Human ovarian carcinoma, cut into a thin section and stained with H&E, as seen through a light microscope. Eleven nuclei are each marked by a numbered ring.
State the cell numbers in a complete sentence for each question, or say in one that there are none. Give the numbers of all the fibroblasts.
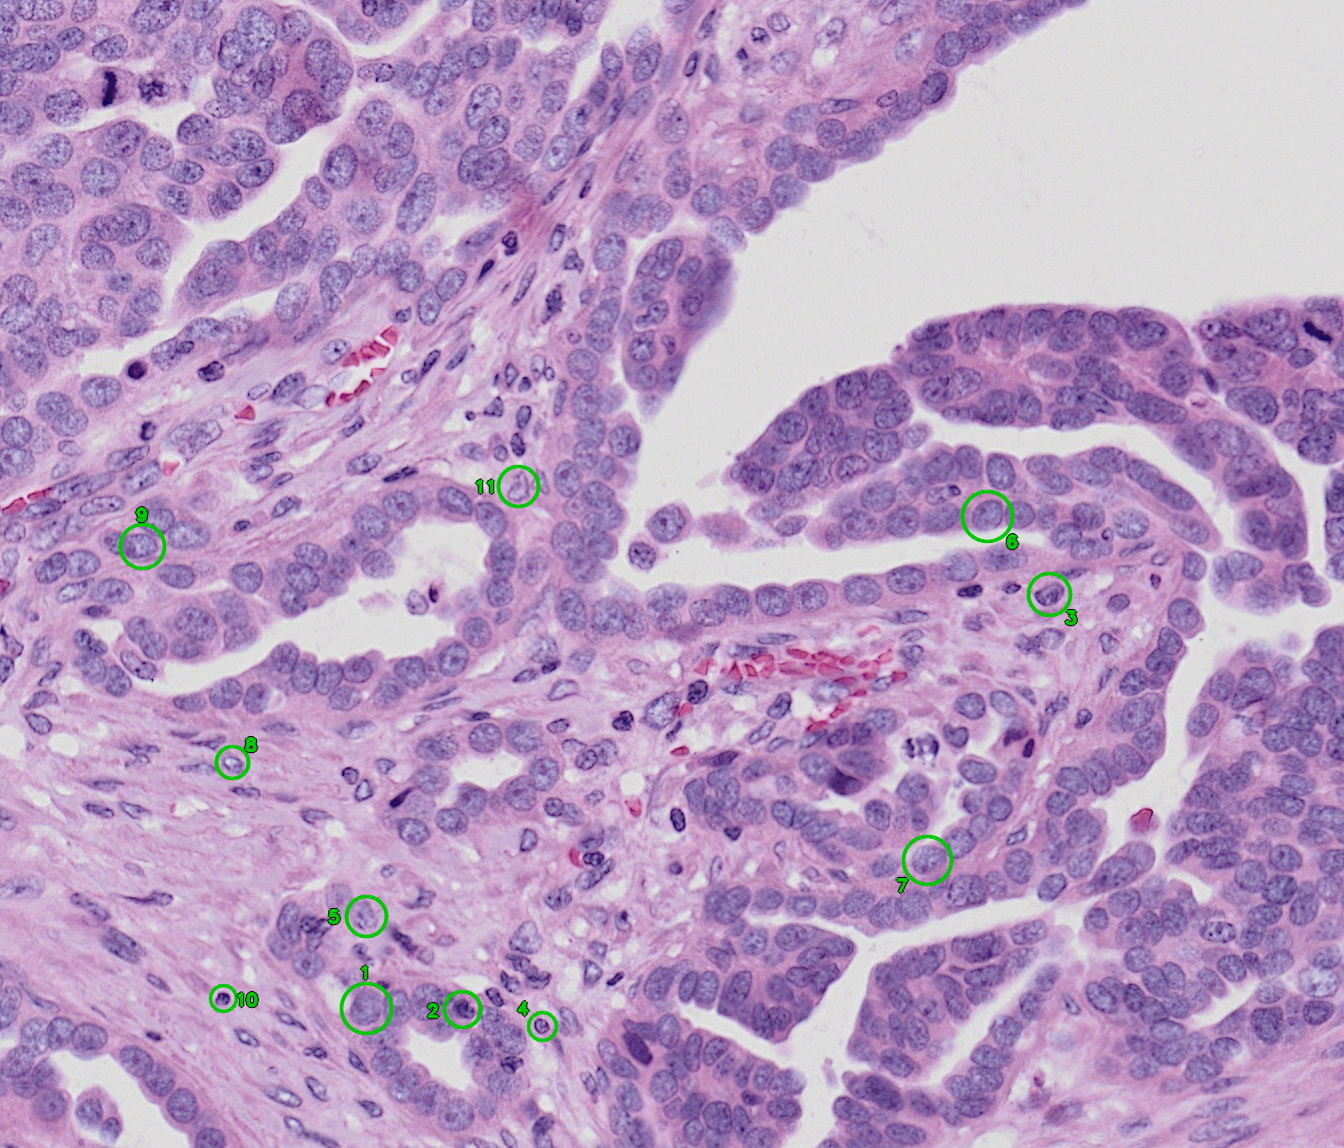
Here, the cells that carry numbers 5, 8 and 11 are fibroblasts.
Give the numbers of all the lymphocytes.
The cells marked 2, 4 and 10 in the section are lymphocytes.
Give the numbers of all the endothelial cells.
The numbered cells are all of types other than endothelial cells.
